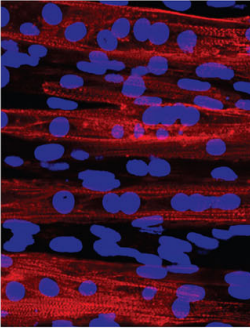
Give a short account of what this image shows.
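Long, broad red fibers run side by side across the field, all aligned in one direction. Many of them show a fine regular cross-banding along their length. Oval blue nuclei lie inside the fibers, several in a single fiber, and more nuclei sit in the dark gaps between them.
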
